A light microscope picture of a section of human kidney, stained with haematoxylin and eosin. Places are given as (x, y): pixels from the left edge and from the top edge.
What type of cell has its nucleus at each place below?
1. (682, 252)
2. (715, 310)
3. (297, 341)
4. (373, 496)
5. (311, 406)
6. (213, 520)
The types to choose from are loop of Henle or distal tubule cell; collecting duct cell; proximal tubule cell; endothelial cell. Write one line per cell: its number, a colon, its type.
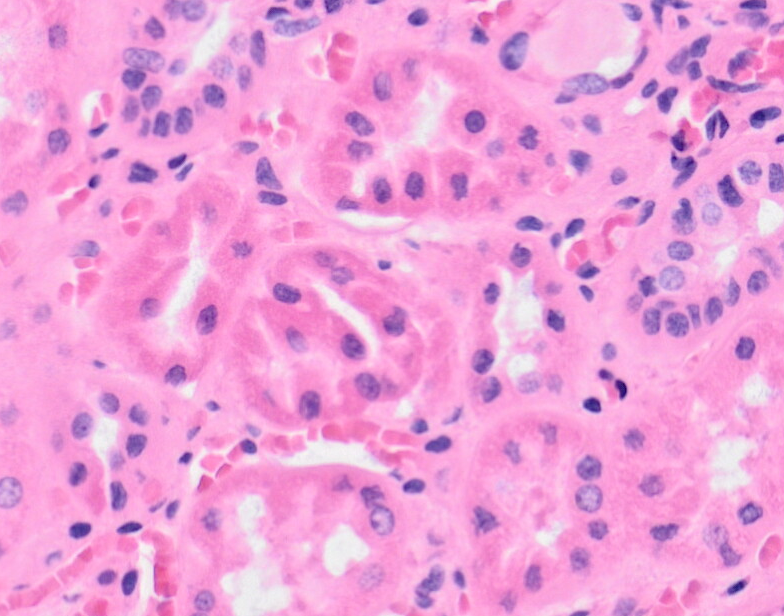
1: collecting duct cell
2: collecting duct cell
3: proximal tubule cell
4: proximal tubule cell
5: proximal tubule cell
6: proximal tubule cell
